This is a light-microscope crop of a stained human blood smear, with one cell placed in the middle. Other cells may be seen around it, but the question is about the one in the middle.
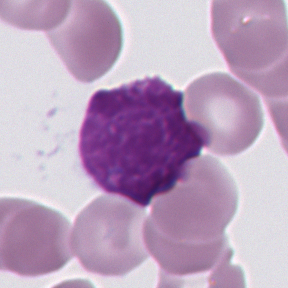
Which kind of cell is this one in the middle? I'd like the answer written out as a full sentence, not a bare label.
The single cell at the center of the crop is a smudge cell.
